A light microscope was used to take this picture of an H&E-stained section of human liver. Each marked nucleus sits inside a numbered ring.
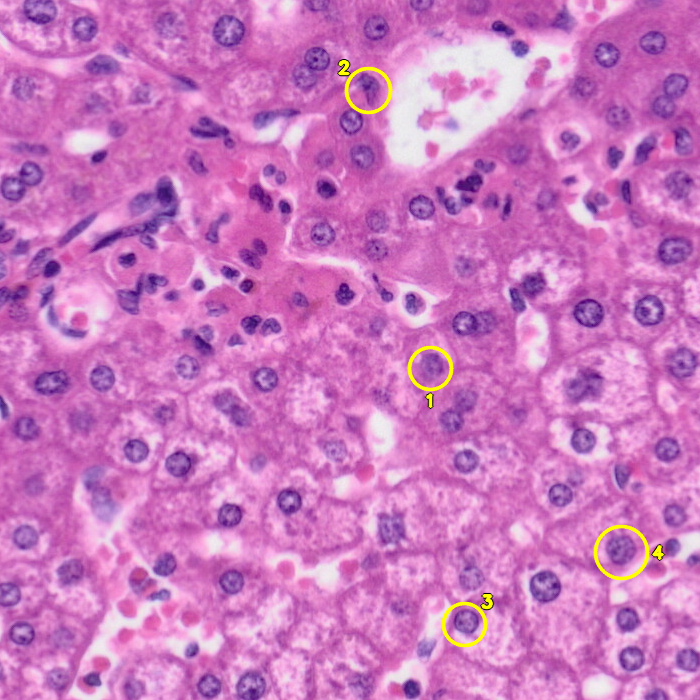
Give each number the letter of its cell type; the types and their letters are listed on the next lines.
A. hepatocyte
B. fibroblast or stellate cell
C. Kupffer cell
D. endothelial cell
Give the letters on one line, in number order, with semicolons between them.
A; B; A; A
